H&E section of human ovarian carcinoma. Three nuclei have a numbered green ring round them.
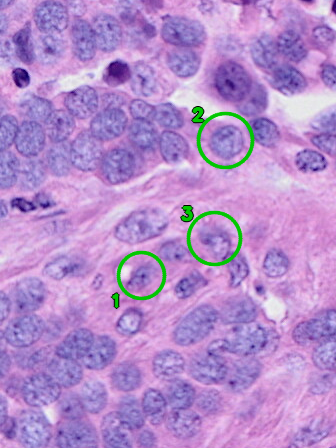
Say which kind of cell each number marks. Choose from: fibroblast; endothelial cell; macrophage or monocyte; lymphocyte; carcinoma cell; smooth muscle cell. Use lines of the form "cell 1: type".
cell 1: endothelial cell
cell 2: carcinoma cell
cell 3: fibroblast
